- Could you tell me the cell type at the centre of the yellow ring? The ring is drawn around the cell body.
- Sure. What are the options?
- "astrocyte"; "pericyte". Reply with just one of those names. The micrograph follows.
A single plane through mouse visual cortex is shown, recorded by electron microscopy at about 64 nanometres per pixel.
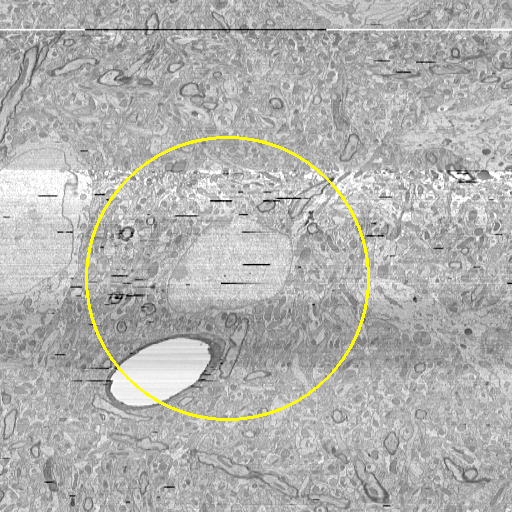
astrocyte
